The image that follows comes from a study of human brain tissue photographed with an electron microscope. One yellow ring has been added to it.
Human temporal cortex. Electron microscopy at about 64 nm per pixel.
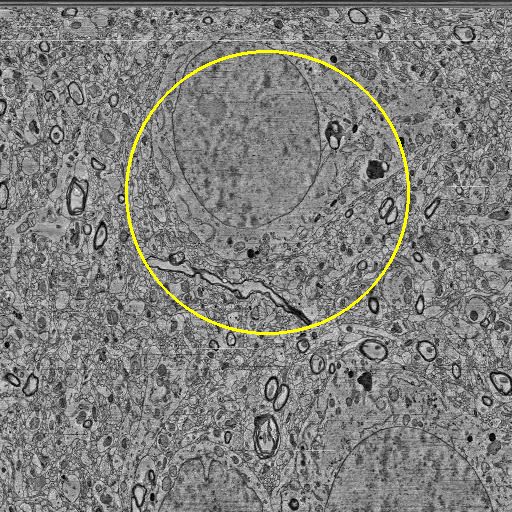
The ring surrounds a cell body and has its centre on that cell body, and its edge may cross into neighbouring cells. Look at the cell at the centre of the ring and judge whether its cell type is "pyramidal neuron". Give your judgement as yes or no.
yes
